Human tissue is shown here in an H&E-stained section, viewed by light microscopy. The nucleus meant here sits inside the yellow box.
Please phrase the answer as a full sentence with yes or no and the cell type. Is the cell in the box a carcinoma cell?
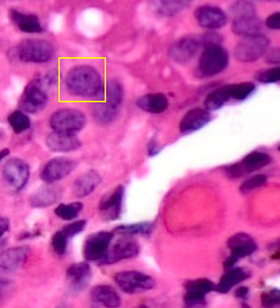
Yes, the cell in the box is a carcinoma cell in this section.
